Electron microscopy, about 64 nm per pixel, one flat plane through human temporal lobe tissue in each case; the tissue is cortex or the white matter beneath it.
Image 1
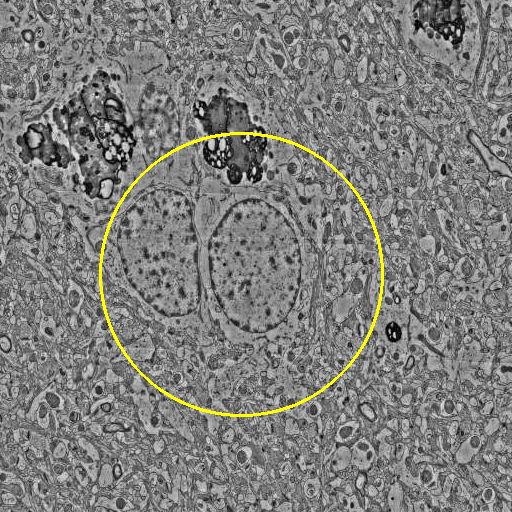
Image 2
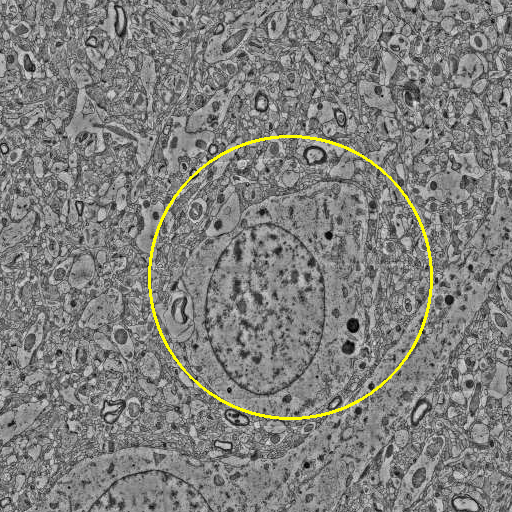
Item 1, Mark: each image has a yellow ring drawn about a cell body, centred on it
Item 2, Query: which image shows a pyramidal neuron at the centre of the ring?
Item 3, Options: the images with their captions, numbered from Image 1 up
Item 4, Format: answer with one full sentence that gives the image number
My answer is image 2, where the cell at the ring's centre fits.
